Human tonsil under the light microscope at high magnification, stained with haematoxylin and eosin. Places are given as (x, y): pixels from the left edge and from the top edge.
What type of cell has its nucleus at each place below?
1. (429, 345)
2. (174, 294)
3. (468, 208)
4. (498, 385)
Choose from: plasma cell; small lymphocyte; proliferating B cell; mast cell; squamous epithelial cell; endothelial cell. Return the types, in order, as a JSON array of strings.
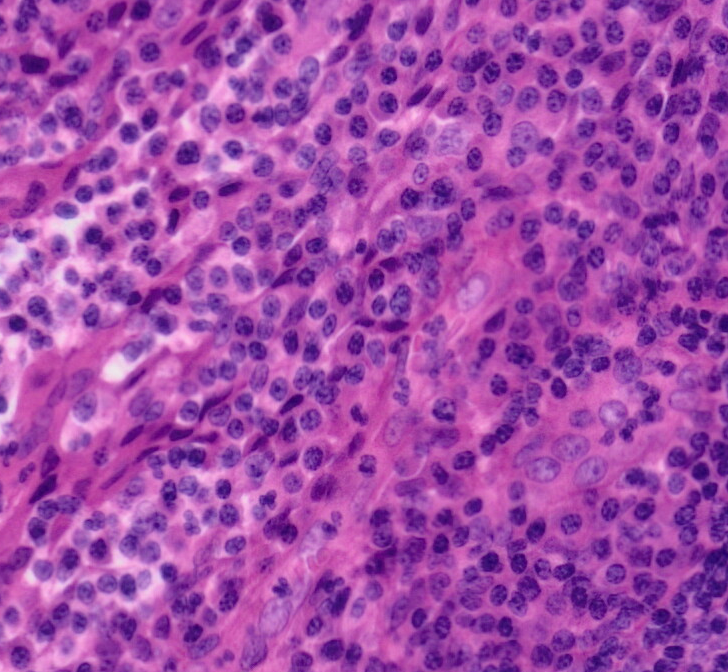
["endothelial cell", "plasma cell", "plasma cell", "plasma cell"]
